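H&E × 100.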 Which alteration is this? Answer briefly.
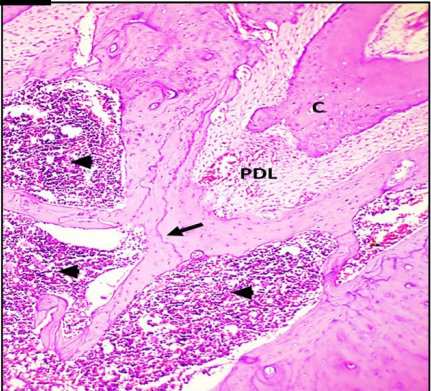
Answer: Wide bone marrow spaces with thin bone trabeculae.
